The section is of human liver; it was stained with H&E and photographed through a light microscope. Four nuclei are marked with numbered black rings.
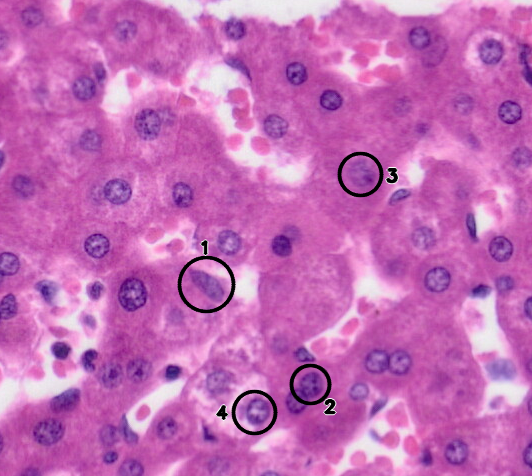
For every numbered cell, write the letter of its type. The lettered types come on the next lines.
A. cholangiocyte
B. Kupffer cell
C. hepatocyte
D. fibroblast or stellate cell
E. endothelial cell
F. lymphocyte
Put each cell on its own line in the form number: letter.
1: B
2: C
3: C
4: C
